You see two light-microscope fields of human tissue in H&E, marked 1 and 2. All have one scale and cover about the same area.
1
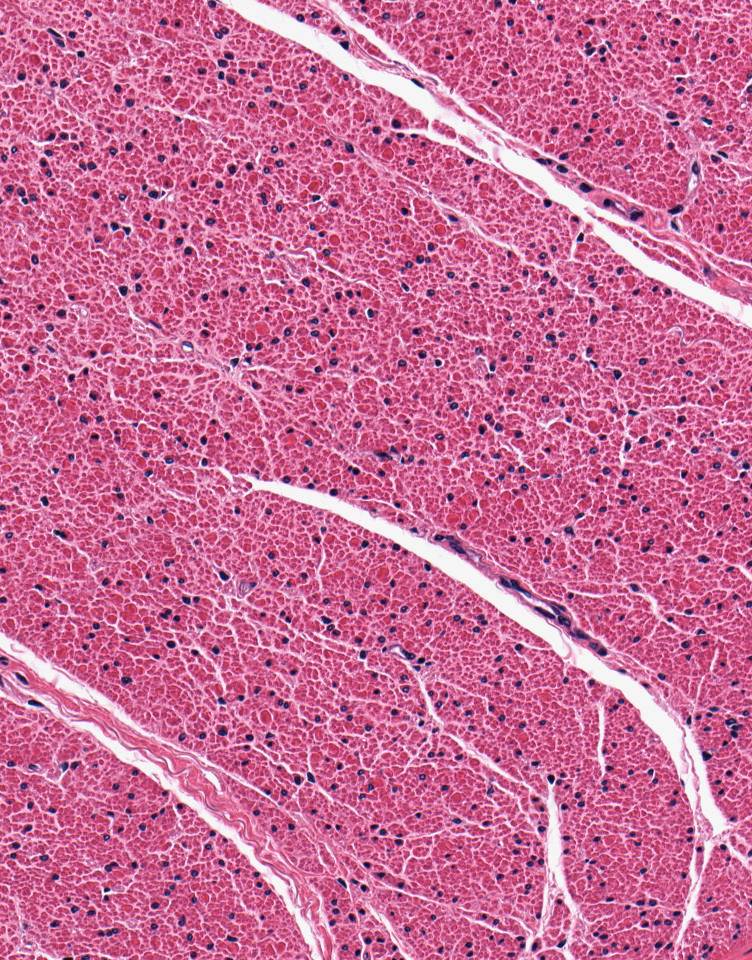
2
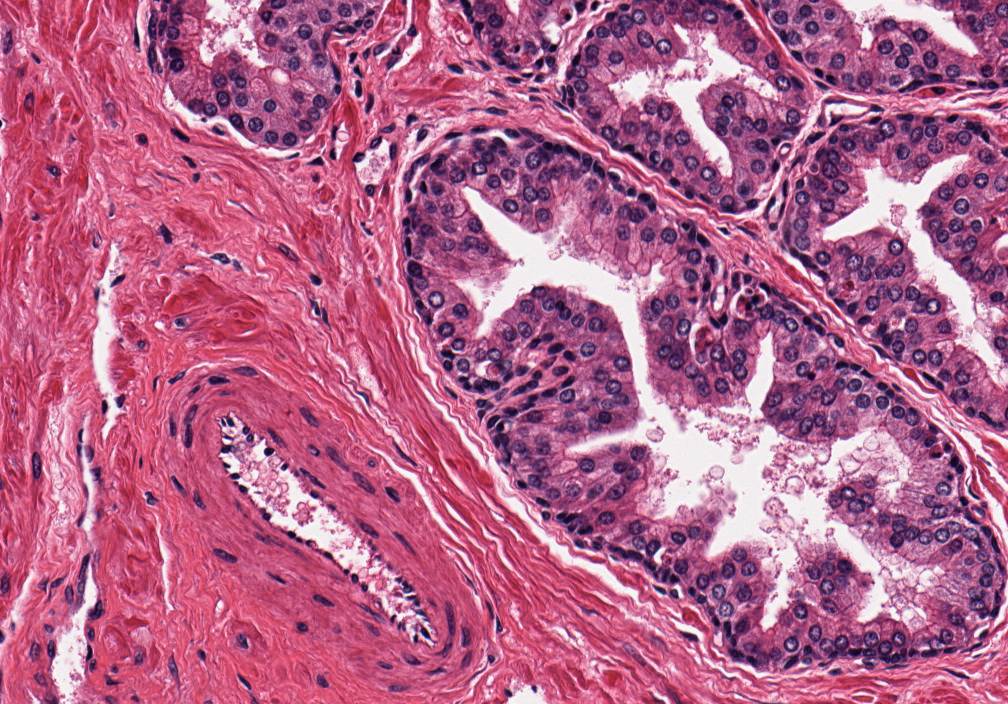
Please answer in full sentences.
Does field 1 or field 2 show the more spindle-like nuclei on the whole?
It is field 2 whose nuclei are the more elongated.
